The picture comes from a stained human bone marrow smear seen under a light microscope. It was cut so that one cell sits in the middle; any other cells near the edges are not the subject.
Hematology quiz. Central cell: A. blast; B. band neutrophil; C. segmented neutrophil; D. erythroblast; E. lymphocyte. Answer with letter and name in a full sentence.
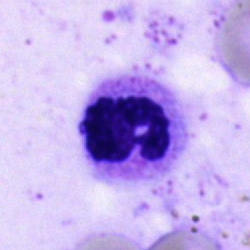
The cell in the middle is a segmented neutrophil, and so option C is correct.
